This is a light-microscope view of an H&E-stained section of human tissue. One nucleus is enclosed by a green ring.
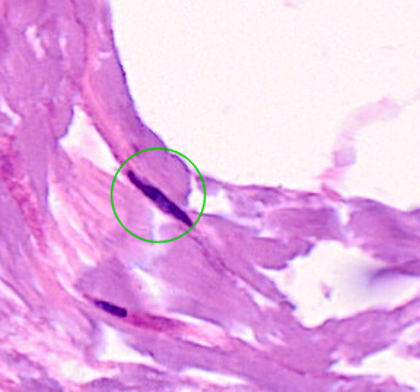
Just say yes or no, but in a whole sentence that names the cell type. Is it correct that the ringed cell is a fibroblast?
Yes, to put it simply, the ringed cell is a fibroblast.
